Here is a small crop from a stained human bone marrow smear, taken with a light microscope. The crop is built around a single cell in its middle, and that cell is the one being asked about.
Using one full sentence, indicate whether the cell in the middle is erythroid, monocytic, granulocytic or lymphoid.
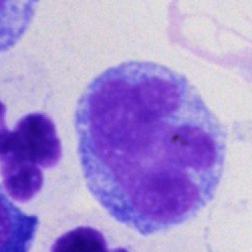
The cell in the middle of the crop is considered part of the monocytic lineage.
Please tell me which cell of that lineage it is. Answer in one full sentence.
This crop's central cell is a monocyte.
